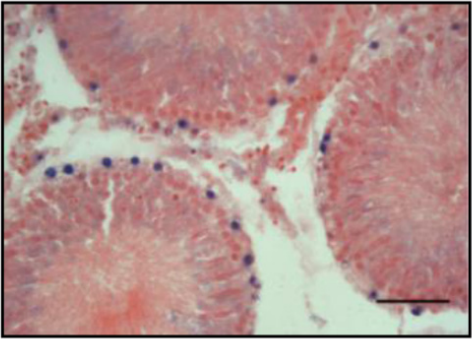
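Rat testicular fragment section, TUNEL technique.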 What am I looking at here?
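Several rounded seminiferous tubules of the testis are seen in cross-section, each filled with many layers of pink-stained germ cells around a central lumen. Pale, partly empty spaces separate the tubules, where the tissue between them has pulled apart. Scattered along the outer edge of the tubules, close to their boundary, lie many small round nuclei stained dark blue, standing out sharply against the pink cells around them.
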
